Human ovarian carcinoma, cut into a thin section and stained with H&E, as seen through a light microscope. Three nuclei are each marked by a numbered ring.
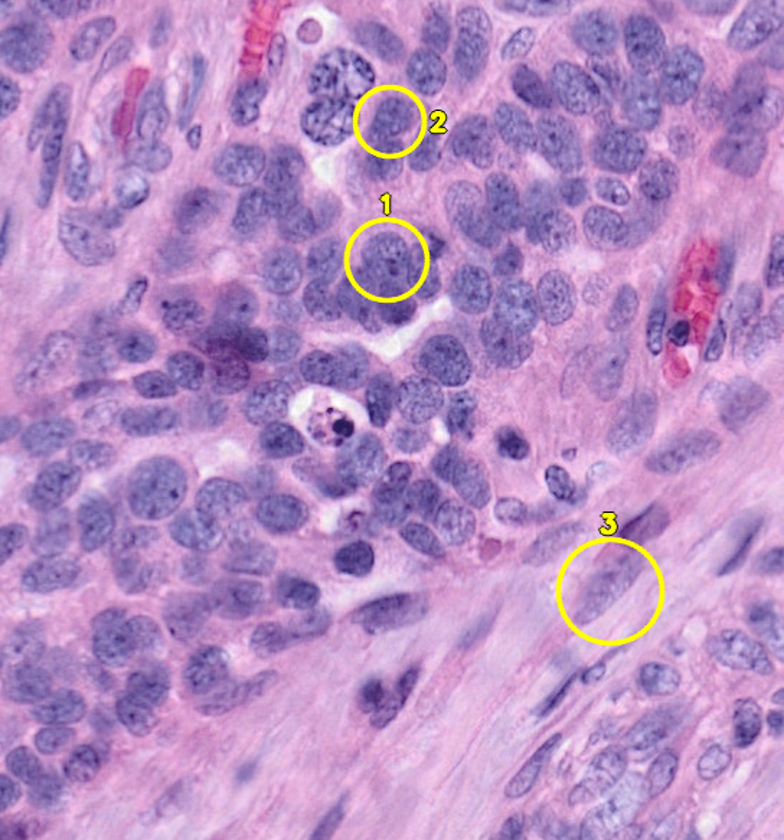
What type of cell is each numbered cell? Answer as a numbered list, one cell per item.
1. carcinoma cell
2. carcinoma cell
3. fibroblast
